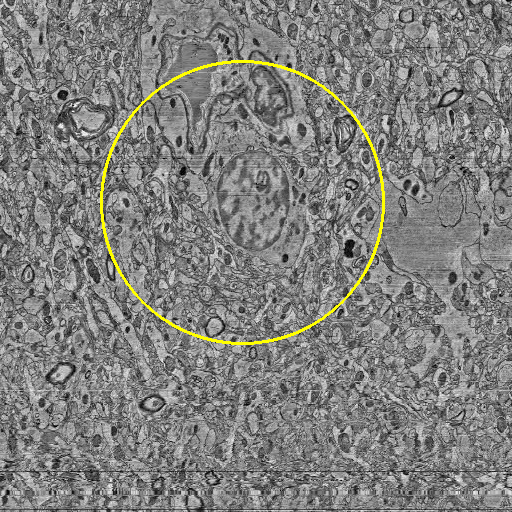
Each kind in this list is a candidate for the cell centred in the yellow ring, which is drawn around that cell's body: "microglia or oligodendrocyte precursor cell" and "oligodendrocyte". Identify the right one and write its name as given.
oligodendrocyte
